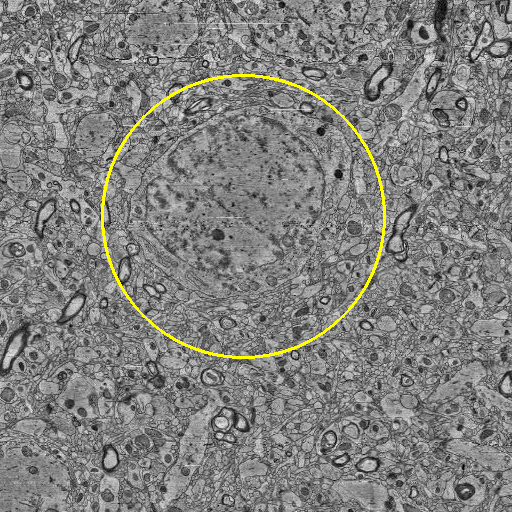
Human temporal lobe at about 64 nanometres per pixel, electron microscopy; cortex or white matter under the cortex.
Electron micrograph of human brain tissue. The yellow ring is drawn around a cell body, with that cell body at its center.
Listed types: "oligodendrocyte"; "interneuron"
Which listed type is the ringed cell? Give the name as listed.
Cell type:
interneuron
